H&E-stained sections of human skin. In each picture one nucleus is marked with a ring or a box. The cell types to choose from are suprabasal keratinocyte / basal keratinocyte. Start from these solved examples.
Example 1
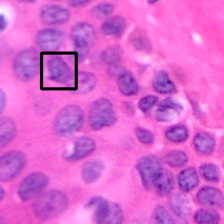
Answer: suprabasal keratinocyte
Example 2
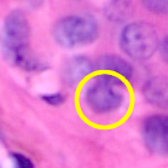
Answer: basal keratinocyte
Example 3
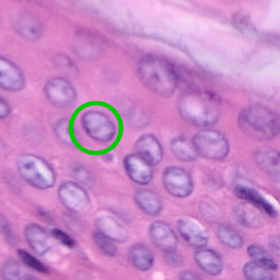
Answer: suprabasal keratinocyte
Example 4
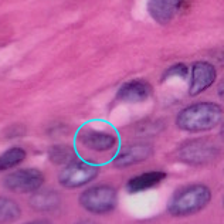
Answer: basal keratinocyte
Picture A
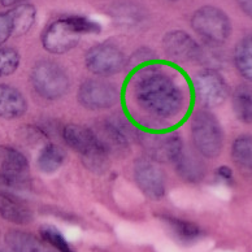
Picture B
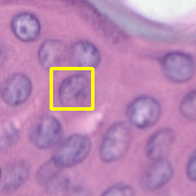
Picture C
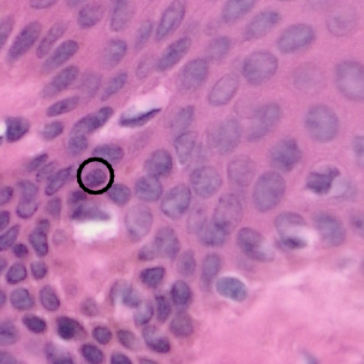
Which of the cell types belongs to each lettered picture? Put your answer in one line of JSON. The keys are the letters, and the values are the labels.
{"A": "basal keratinocyte", "B": "suprabasal keratinocyte", "C": "basal keratinocyte"}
